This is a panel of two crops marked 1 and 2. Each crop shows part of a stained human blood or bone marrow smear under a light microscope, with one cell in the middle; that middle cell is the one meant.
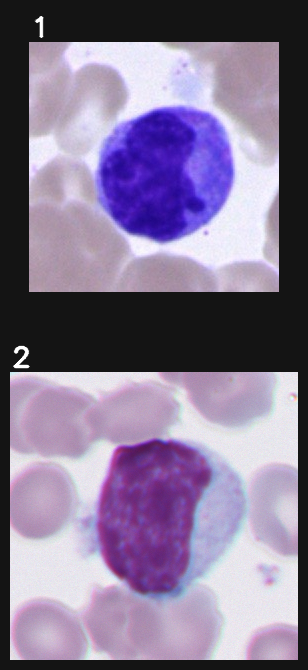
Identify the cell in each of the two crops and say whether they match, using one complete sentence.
No, a monocyte and a lymphocyte are found in crop 1 and crop 2, respectively.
